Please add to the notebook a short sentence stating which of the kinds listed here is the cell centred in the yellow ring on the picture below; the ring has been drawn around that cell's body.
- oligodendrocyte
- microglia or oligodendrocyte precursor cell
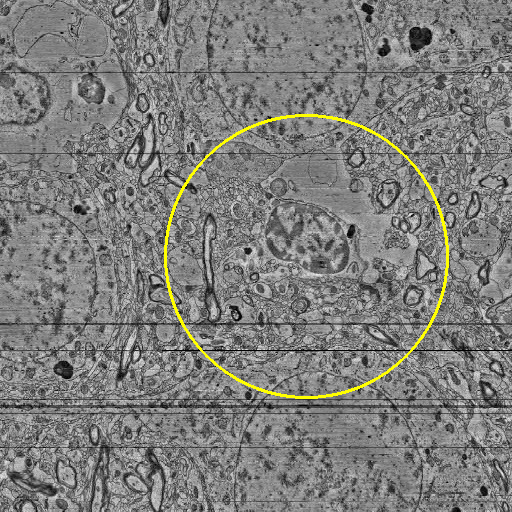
The cell centred in the yellow ring is a microglial cell or oligodendrocyte precursor cell.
